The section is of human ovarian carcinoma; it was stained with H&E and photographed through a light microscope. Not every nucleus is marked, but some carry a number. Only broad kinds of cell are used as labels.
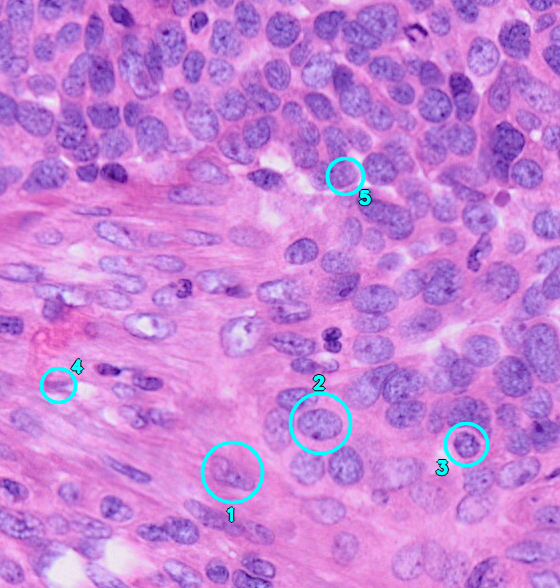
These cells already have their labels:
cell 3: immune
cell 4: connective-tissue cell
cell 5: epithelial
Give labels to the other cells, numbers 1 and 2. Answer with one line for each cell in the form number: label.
1: connective-tissue cell
2: epithelial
